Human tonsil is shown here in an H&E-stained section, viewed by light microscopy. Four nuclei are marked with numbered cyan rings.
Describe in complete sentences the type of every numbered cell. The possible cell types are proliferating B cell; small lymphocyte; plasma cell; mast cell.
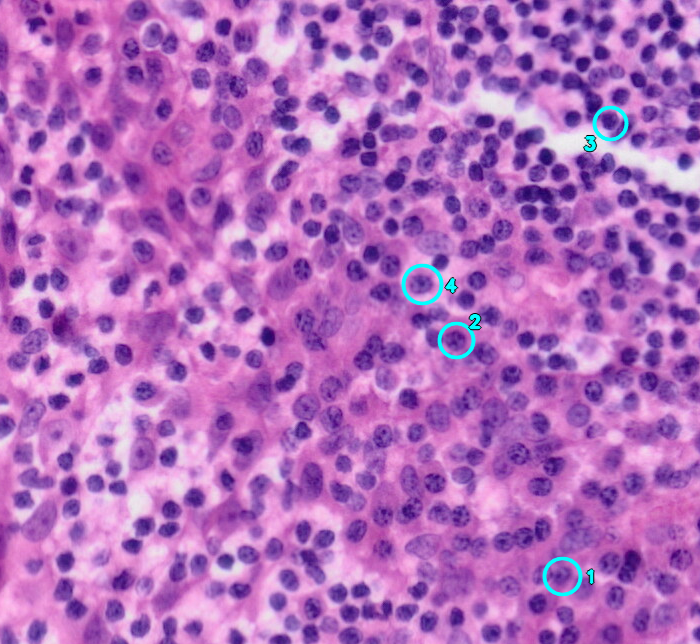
Cells 1, 2 and 4 are plasma cells. Cell 3 is a small lymphocyte.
